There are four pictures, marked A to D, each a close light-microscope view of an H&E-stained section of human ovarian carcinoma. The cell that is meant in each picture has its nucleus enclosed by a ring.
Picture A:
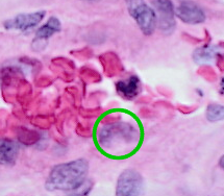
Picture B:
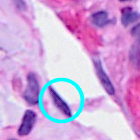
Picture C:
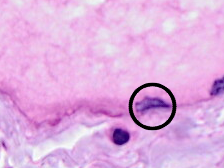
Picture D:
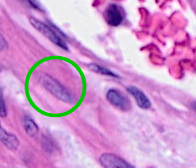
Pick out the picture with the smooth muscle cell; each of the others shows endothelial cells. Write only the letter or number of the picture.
D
